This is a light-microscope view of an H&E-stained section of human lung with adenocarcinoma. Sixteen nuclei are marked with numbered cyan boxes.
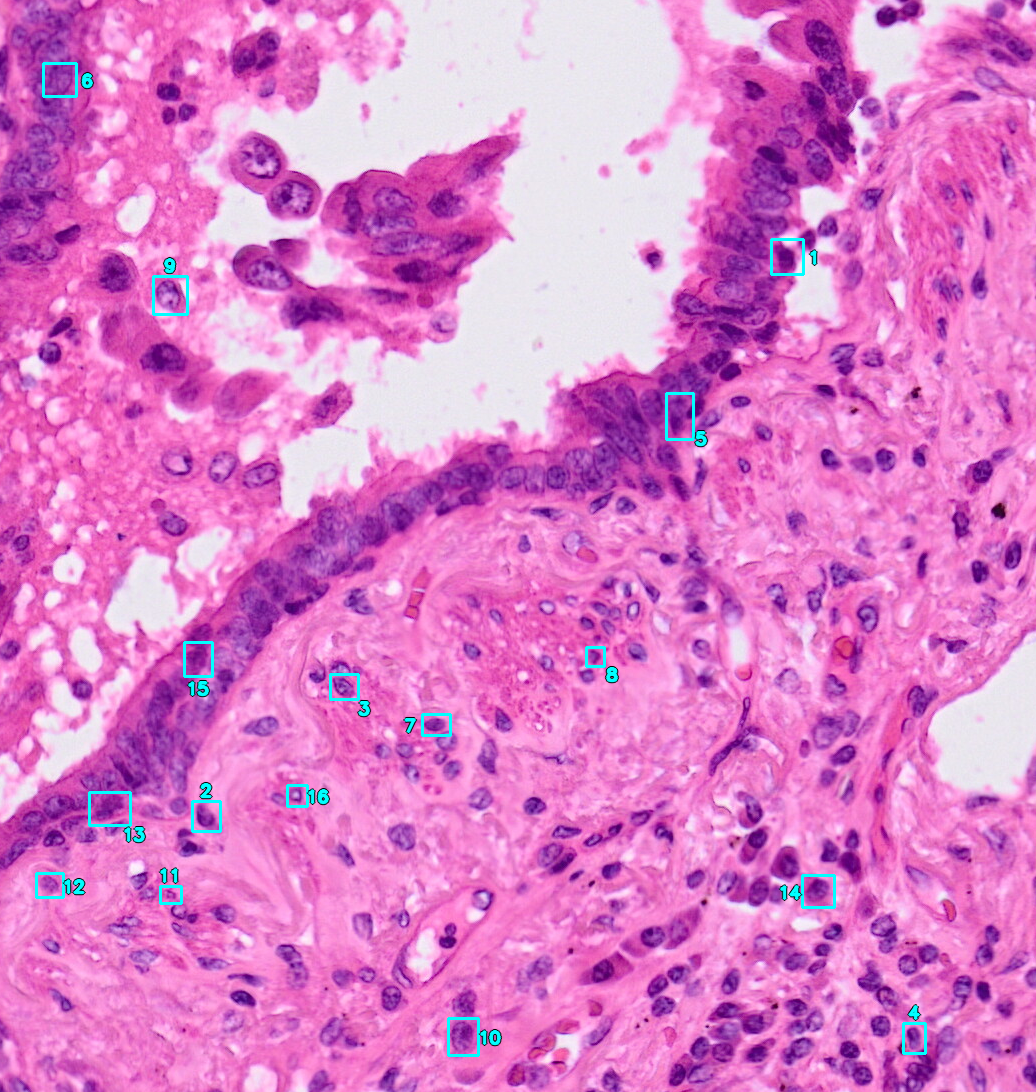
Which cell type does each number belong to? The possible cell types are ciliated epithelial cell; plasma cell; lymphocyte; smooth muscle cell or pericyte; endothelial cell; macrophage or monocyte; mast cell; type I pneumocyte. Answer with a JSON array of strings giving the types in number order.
["ciliated epithelial cell", "plasma cell", "smooth muscle cell or pericyte", "lymphocyte", "ciliated epithelial cell", "ciliated epithelial cell", "smooth muscle cell or pericyte", "smooth muscle cell or pericyte", "macrophage or monocyte", "plasma cell", "smooth muscle cell or pericyte", "mast cell", "ciliated epithelial cell", "plasma cell", "ciliated epithelial cell", "smooth muscle cell or pericyte"]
